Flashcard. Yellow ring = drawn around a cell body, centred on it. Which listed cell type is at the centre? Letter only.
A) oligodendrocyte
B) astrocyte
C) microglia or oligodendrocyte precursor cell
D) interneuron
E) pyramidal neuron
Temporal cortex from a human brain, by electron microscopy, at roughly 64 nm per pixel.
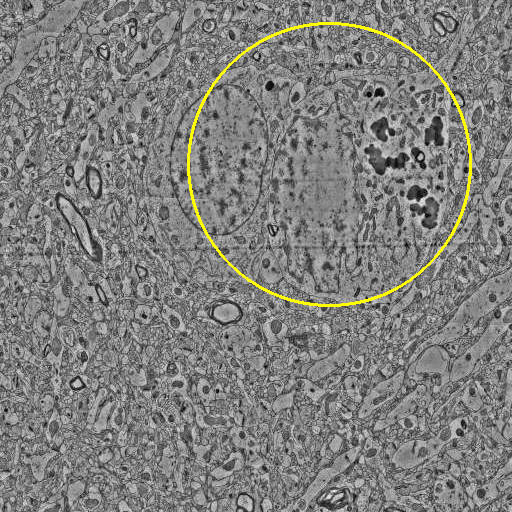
D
